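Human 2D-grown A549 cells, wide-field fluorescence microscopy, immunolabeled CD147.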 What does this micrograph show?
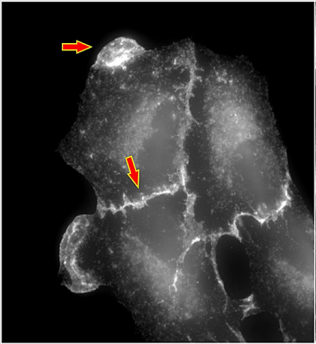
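Flat, spread cultured cells lie side by side, their bodies covered with a faint granular labelling and a larger hazy central region over the nucleus. The label is brightest as thin lines along the borders where neighbouring cells meet. Broad, fan-shaped spreading edges at the cell margins carry a bright crescent of label along their rims.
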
